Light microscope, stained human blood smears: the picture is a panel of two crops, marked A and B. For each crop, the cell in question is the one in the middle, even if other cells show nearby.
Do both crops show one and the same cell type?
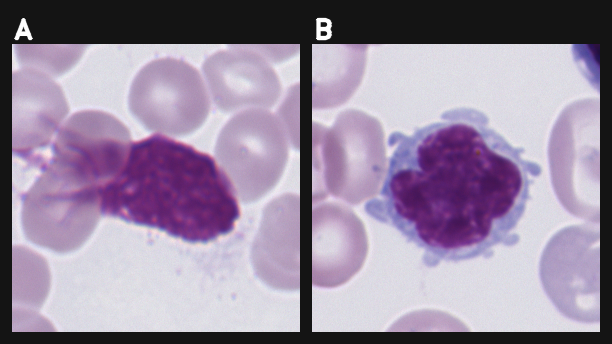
no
